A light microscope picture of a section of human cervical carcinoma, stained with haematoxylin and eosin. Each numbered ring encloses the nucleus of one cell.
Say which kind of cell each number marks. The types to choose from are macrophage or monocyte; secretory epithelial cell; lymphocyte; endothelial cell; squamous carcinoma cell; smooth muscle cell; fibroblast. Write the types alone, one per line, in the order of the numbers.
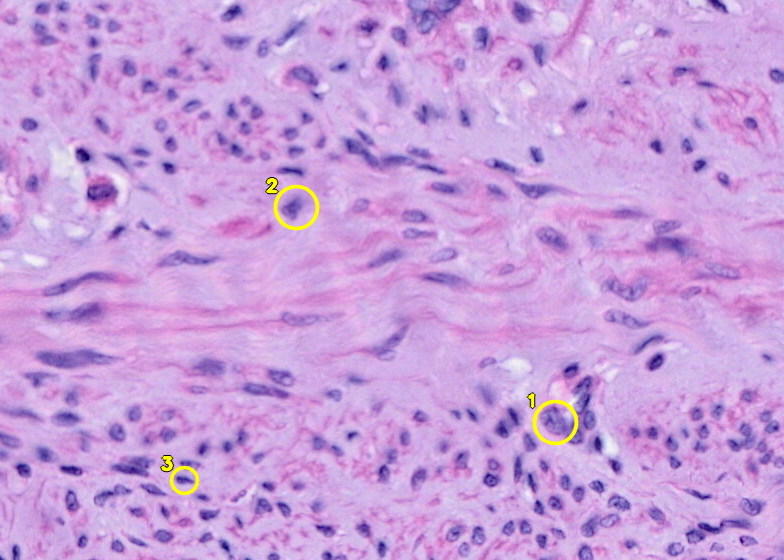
endothelial cell
fibroblast
fibroblast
